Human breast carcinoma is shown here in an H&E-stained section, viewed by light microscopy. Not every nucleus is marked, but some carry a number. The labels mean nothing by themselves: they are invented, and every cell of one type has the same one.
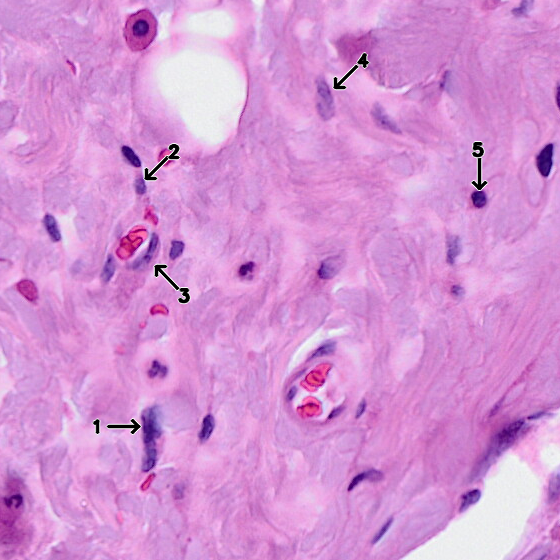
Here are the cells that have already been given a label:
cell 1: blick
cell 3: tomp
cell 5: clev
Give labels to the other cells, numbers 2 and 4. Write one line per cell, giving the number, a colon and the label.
2: blick
4: blick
